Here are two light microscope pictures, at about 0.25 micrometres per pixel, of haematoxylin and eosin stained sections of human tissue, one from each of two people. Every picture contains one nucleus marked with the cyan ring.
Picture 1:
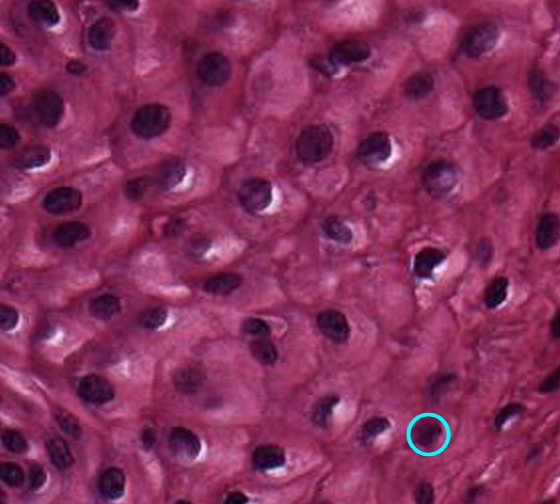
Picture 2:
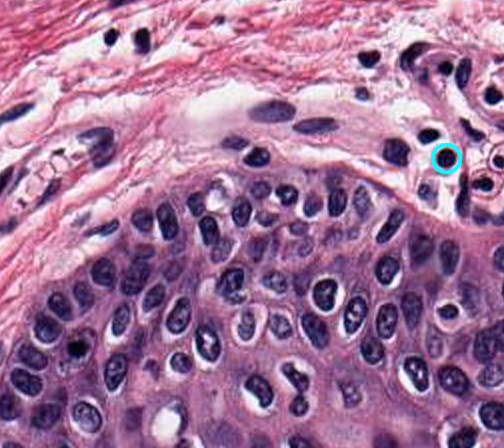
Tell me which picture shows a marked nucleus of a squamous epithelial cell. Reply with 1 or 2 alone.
1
